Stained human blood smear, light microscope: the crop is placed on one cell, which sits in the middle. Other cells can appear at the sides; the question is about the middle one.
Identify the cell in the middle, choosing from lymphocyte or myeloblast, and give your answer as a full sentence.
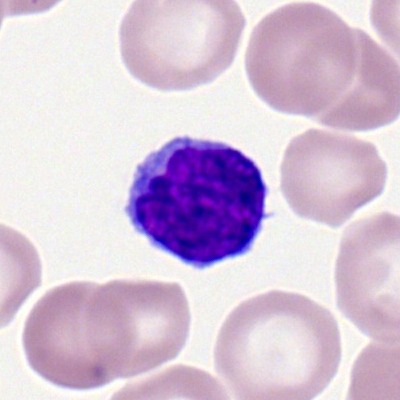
Centrally within this crop lies a lymphocyte.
